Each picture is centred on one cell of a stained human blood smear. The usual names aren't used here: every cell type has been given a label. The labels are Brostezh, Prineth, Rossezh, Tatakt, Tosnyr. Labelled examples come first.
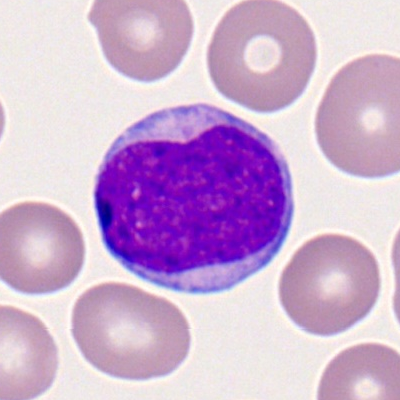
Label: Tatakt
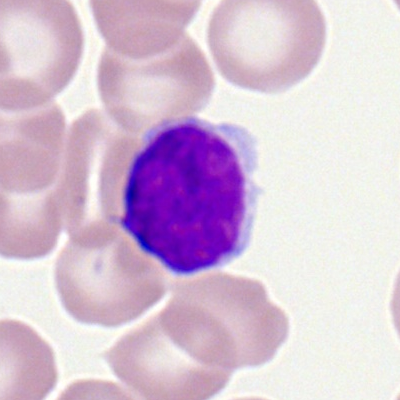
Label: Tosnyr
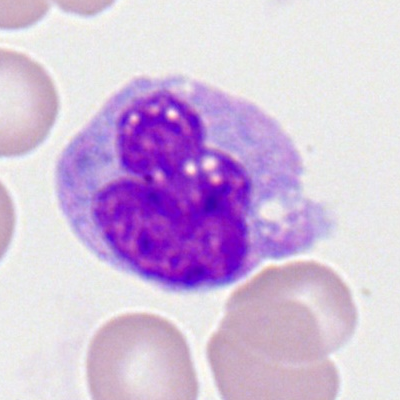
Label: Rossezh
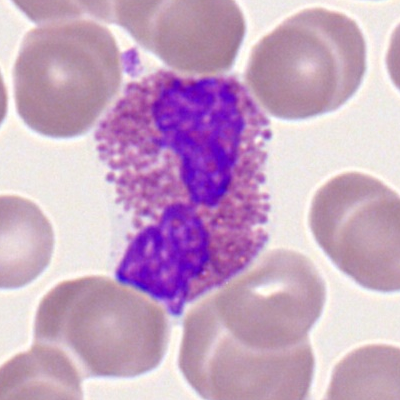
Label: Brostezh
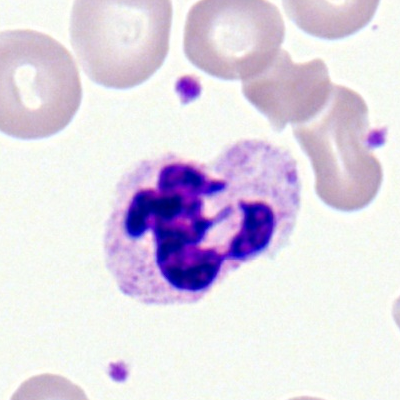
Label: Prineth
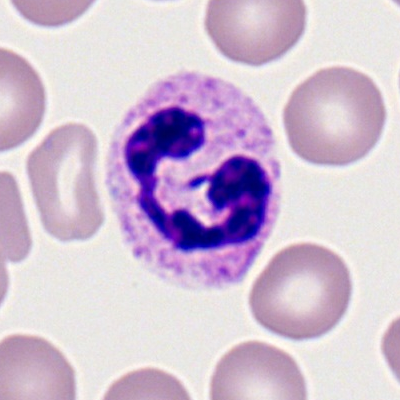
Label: Prineth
